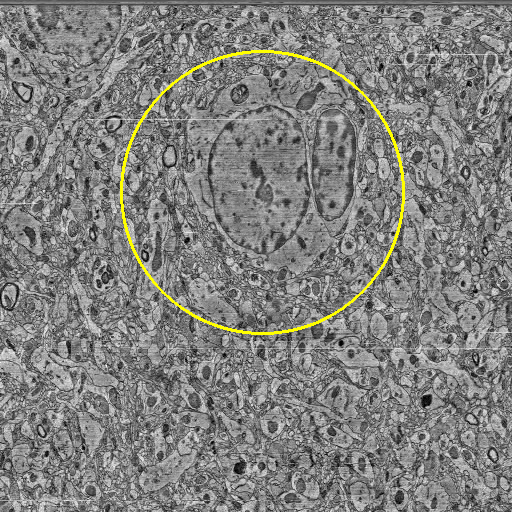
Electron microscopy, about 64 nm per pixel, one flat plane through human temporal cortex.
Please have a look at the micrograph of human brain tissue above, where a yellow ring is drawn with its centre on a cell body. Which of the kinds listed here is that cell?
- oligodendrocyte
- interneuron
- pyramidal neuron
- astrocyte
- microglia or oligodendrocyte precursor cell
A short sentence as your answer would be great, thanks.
At the centre of the ring sits an astrocyte.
